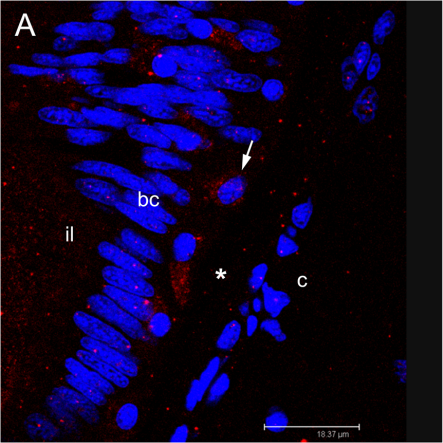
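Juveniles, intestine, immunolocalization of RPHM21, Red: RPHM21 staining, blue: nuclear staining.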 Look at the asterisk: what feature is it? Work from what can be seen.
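The asterisk lies at the base of the palisade of columnar cells. It sits in a narrow band separating the epithelium from the connective tissue.
Basal lamina.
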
